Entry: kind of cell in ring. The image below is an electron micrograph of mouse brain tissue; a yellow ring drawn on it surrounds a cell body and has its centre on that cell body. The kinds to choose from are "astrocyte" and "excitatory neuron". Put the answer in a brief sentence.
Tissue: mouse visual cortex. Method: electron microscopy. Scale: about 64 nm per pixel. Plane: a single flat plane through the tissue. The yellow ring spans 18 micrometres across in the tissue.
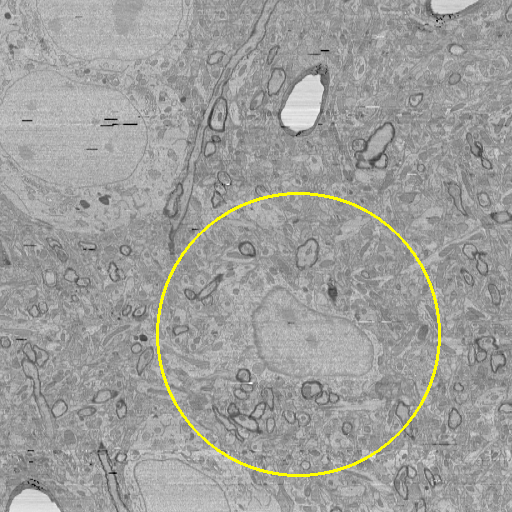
The ring has been drawn around an astrocyte.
